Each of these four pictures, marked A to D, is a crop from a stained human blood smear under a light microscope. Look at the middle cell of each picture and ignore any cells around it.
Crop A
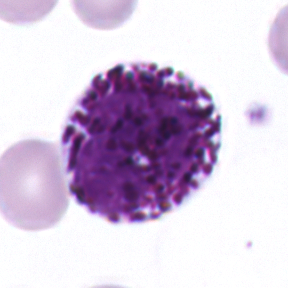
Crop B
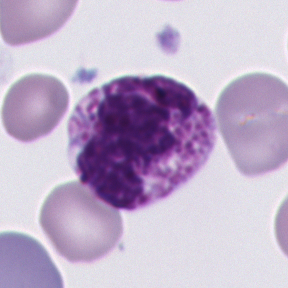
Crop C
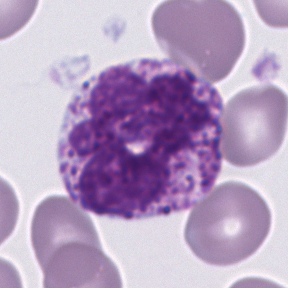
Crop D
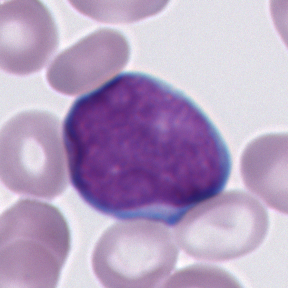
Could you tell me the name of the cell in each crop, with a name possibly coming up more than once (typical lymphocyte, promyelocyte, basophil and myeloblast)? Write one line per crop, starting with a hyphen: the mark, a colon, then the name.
- A: basophil
- B: basophil
- C: basophil
- D: myeloblast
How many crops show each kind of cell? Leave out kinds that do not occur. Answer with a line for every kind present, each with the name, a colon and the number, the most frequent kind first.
basophil: 3
myeloblast: 1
